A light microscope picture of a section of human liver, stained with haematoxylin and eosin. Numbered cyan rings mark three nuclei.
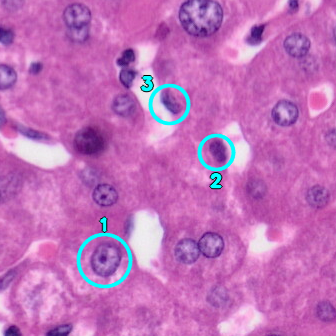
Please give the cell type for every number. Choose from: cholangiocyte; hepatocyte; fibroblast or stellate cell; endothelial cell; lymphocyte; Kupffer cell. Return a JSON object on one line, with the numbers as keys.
{"1": "hepatocyte", "2": "Kupffer cell", "3": "endothelial cell"}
